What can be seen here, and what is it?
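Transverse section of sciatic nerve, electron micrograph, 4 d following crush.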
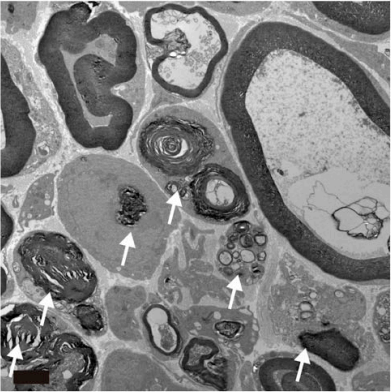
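The remaining myelinated fibres appear as smooth, thick, dark rings around pale axon profiles of varying size. Scattered between them are profiles filled with dark, lamellated and whorled fragments of broken-down myelin, some accompanied by small clear vacuoles. The spaces between fibres are occupied by paler, finely textured material.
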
